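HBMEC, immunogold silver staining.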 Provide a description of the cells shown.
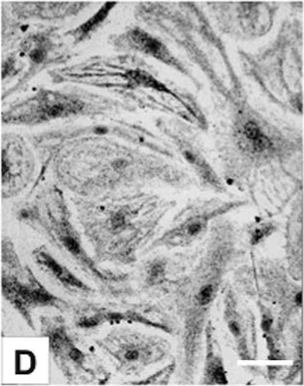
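Flattened, broad and elongated cultured cells overlap in a crowded layer, each with an oval nucleus, some with a prominent nucleolus. Their cytoplasm is packed with fine dark granular deposits, and in places faint streaks run lengthwise through the cell bodies. Pale clefts separate neighbouring cells. The dense granular darkening marks heavy cytoplasmic staining.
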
